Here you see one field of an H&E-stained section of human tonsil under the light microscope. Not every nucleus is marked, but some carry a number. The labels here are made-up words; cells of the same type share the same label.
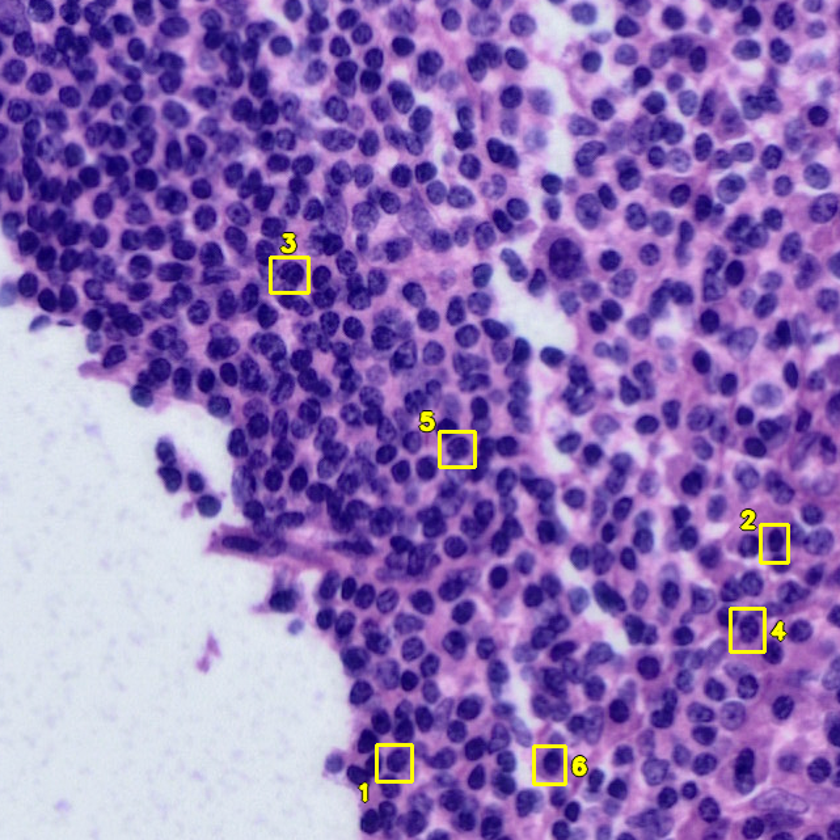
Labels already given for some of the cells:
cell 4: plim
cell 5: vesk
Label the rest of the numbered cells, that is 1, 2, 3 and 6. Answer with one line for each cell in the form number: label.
1: vesk
2: plim
3: vesk
6: plim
